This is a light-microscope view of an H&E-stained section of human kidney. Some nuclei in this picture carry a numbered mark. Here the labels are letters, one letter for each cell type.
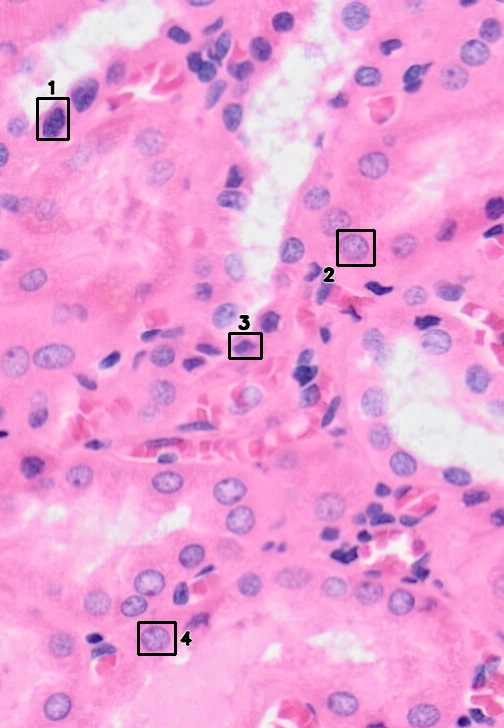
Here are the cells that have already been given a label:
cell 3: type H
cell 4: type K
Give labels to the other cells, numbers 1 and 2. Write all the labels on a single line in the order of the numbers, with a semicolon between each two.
type H; type K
